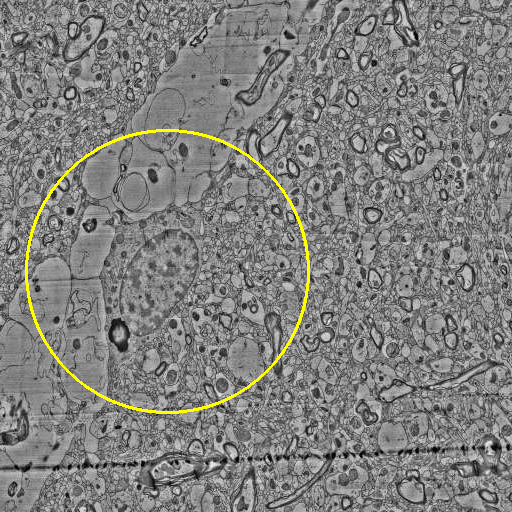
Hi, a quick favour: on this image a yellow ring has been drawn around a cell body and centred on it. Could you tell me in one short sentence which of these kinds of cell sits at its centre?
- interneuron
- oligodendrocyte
The ring is centred on an oligodendrocyte.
